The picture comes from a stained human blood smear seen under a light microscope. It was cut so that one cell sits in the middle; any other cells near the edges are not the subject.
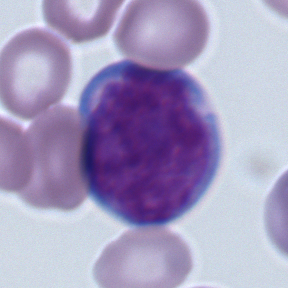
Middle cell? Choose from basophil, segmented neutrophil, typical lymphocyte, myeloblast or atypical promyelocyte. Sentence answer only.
The central cell shown in this smear crop is a myeloblast.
